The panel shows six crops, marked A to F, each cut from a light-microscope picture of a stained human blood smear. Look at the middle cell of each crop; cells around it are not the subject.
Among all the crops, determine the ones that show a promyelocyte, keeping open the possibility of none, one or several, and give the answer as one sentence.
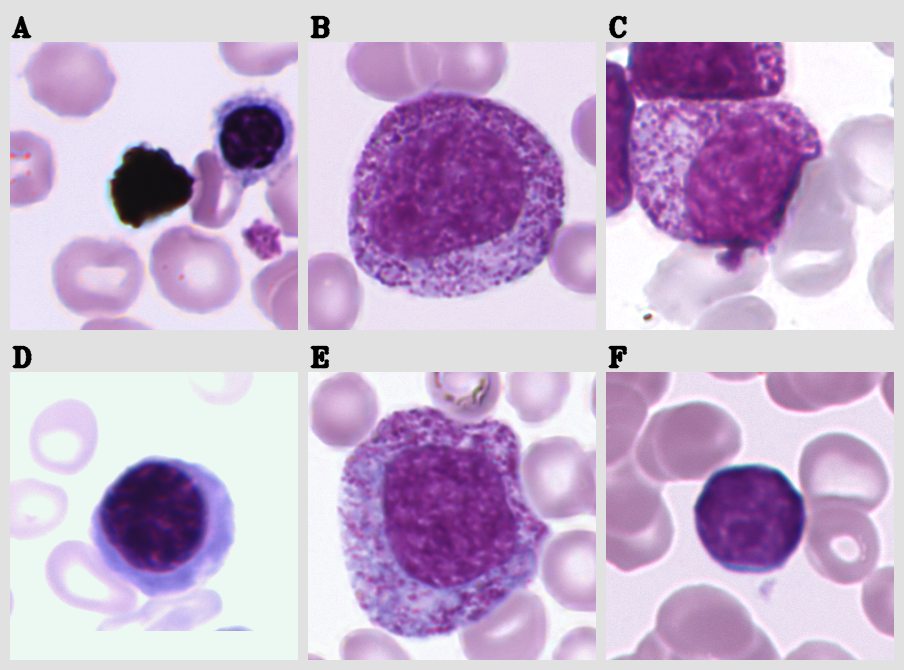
The target cells in crops B and E are promyelocytes.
